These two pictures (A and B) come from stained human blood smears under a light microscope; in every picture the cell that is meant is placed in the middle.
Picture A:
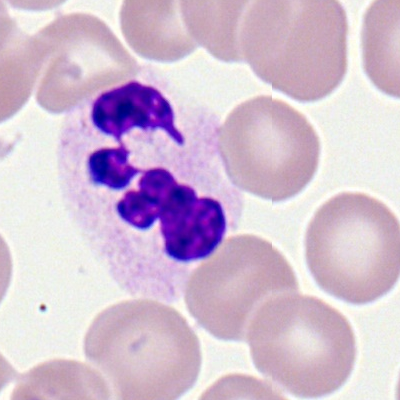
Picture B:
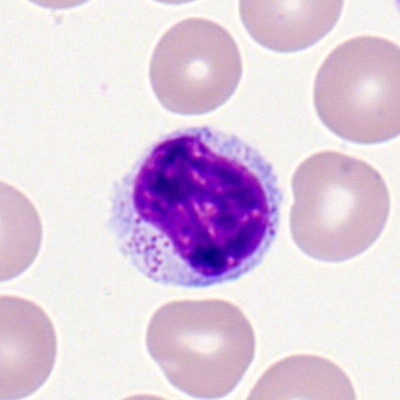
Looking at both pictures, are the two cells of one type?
no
